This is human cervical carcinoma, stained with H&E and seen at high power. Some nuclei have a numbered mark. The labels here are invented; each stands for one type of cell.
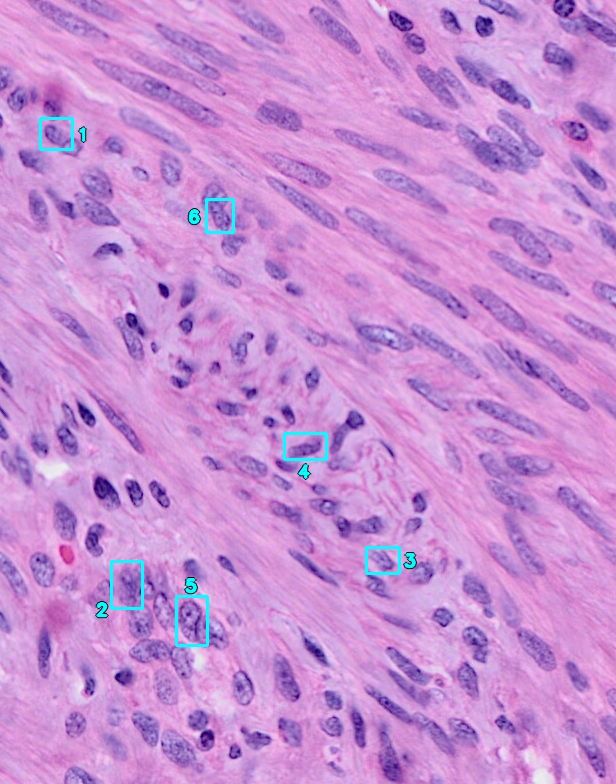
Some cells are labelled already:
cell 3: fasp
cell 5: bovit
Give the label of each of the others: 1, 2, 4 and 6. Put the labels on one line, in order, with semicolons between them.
fasp; bovit; fasp; fasp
